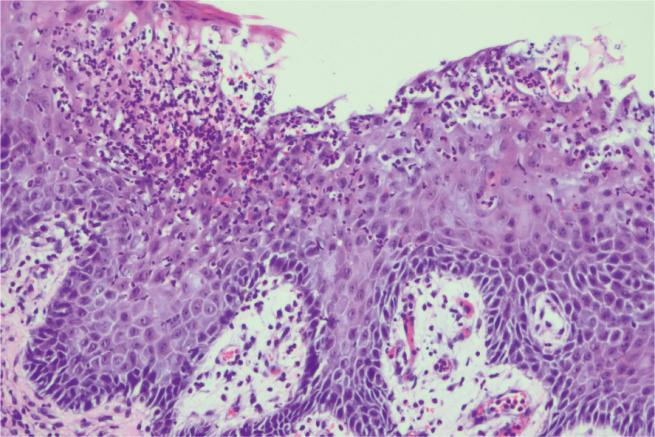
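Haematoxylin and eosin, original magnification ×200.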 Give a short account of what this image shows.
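Epidermis with a pustule: a dense collection of neutrophils lies in the upper spinous layer just under a thin pink keratin layer. The neutrophils are small, with dark, compact, irregular nuclei and little cytoplasm, and they crowd between and replace keratinocytes. Around them the keratinocytes are large polygonal cells with pale pink cytoplasm and round nuclei. Scattered inflammatory cells extend along the surface to the right. The basal layer is a row of darker, crowded basophilic cells bordering the dermal papillae, which contain loose pale stroma and small blood vessels with red cells.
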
